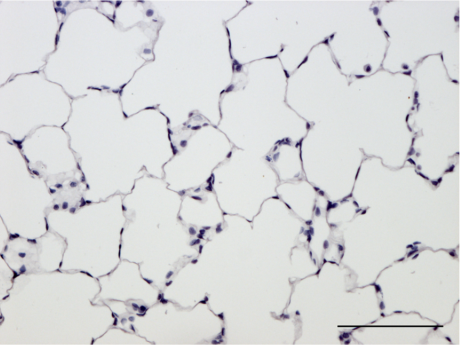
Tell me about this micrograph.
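Lung parenchyma with wide open alveolar spaces separated by thin, delicate septa. The walls carry sparse, small blue nuclei, and no brown staining is seen along the alveolar surfaces.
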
